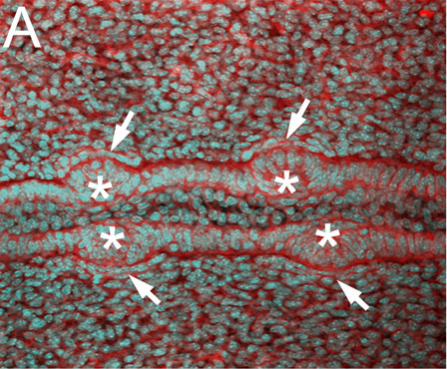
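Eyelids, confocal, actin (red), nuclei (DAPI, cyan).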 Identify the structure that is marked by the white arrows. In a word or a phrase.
Condensation of mesenchyme.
